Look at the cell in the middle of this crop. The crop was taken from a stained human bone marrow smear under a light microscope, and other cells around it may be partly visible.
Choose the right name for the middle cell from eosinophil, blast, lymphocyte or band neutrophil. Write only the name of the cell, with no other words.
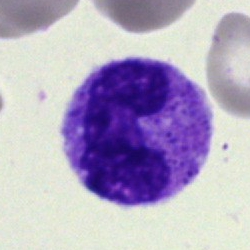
band neutrophil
